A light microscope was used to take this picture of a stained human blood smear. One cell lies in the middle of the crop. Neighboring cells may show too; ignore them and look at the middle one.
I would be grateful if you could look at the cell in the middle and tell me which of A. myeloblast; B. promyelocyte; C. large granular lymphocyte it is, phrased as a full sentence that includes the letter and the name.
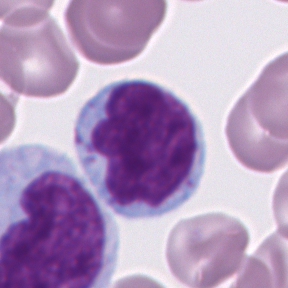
Option C is correct, and the cell in the centre is a large granular lymphocyte.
